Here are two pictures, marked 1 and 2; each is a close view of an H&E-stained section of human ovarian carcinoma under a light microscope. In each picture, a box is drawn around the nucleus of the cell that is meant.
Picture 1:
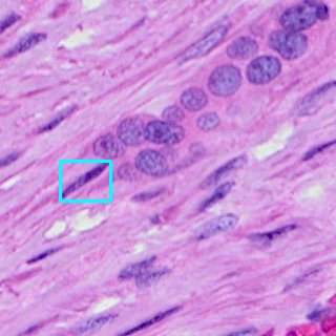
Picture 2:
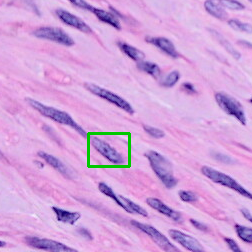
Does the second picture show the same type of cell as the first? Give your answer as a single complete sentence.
No, they differ: the cell is a fibroblast in picture 1 and a smooth muscle cell in picture 2.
